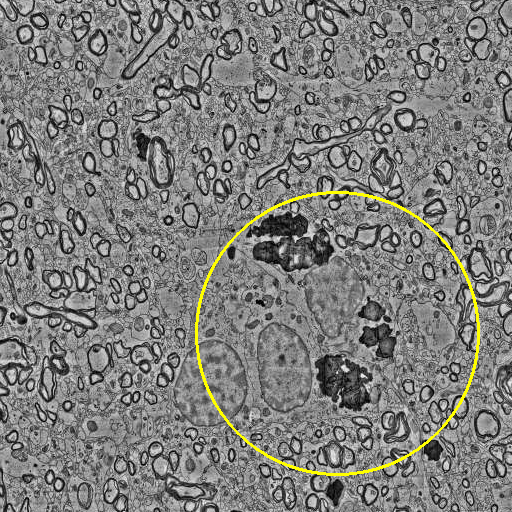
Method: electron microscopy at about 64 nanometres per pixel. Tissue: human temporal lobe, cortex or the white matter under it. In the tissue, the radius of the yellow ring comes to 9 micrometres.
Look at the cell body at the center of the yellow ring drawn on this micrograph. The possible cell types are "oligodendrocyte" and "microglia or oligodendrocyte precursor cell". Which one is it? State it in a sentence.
The cell in the middle of the ring is an oligodendrocyte.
